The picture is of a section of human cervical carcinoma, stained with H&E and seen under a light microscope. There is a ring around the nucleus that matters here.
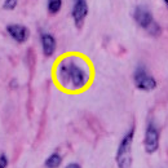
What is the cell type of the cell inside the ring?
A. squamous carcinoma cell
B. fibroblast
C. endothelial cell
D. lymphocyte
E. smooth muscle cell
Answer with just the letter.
E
